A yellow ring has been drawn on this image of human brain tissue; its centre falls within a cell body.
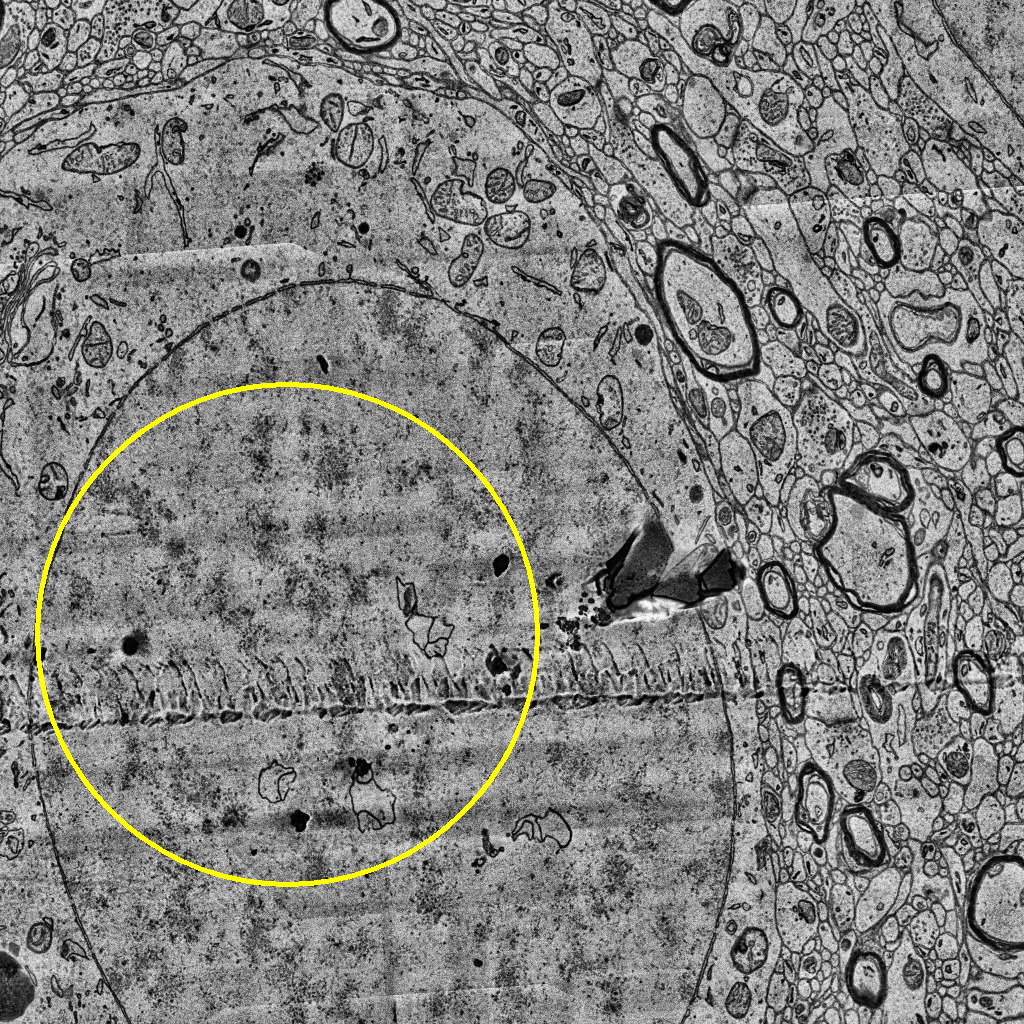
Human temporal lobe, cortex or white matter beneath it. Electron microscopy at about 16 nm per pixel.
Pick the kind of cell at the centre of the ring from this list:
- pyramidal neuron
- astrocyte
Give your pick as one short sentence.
The centre of the ring holds a pyramidal neuron.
